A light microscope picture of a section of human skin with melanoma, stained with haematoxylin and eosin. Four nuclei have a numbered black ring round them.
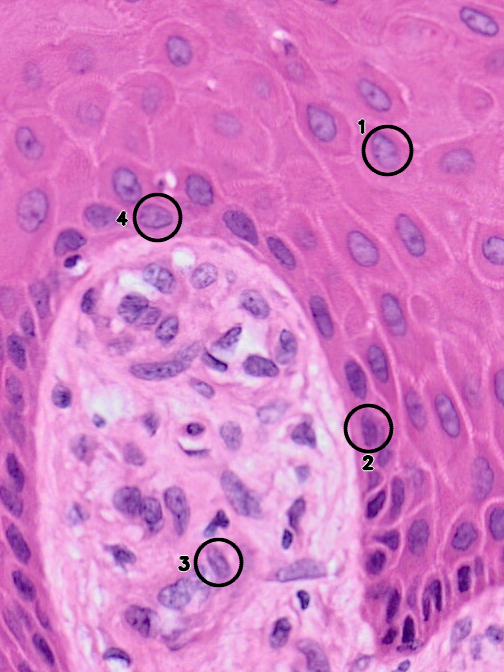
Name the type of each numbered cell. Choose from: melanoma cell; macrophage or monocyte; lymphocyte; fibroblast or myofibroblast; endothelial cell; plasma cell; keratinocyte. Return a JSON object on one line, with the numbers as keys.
{"1": "keratinocyte", "2": "keratinocyte", "3": "endothelial cell", "4": "keratinocyte"}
